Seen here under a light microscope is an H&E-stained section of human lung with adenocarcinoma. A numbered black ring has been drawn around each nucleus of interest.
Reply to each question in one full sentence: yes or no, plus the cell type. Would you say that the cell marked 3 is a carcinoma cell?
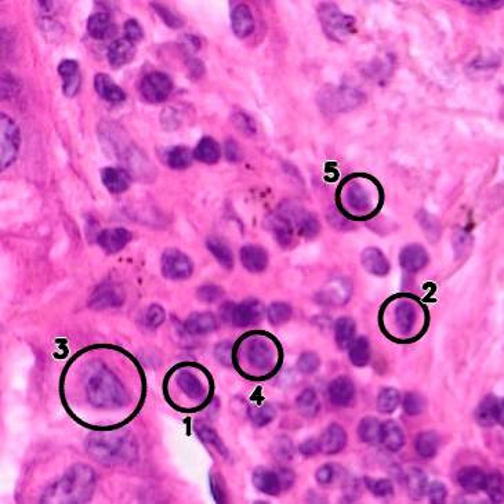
Yes, with respect to number 3, the cell is a carcinoma cell.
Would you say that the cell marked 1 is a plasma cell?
No, the nucleus numbered 1 belongs to a lymphocyte, not a plasma cell.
